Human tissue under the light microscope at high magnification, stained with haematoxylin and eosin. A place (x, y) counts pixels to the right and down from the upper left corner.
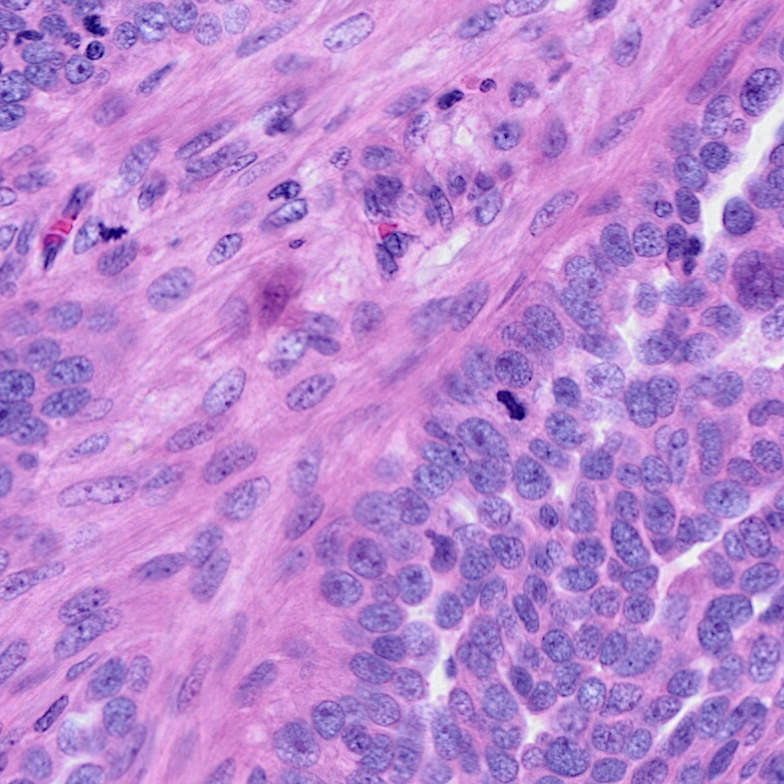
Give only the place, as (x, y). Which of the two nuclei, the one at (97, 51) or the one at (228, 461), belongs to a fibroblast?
(228, 461)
